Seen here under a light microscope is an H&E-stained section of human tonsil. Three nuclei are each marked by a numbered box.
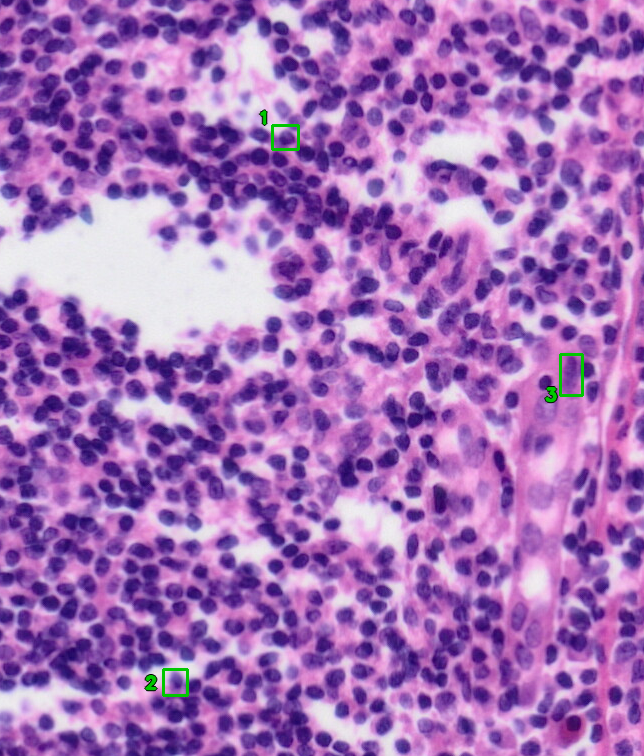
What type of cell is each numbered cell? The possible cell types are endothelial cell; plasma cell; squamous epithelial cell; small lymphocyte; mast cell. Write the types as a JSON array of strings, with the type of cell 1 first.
["small lymphocyte", "small lymphocyte", "endothelial cell"]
